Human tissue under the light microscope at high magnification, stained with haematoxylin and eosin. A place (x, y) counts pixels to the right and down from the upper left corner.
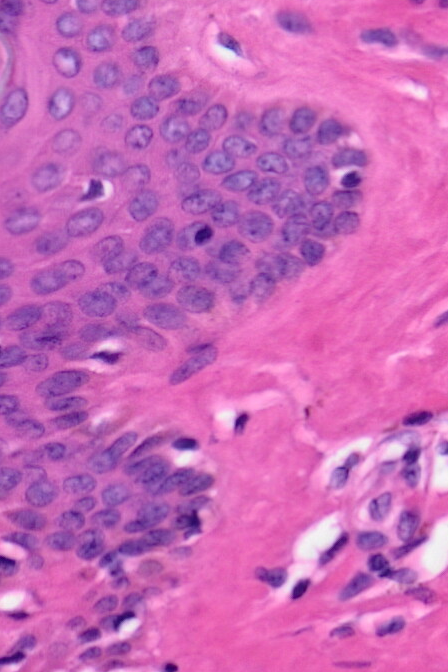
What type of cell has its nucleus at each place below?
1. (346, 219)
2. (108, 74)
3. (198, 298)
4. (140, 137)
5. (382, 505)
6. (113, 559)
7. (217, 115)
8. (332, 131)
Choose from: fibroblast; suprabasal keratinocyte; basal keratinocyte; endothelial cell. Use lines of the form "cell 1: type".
cell 1: basal keratinocyte
cell 2: suprabasal keratinocyte
cell 3: basal keratinocyte
cell 4: suprabasal keratinocyte
cell 5: endothelial cell
cell 6: basal keratinocyte
cell 7: basal keratinocyte
cell 8: basal keratinocyte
